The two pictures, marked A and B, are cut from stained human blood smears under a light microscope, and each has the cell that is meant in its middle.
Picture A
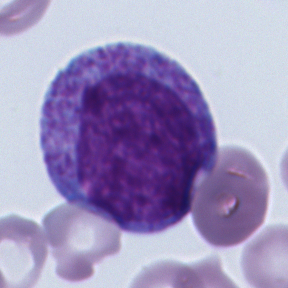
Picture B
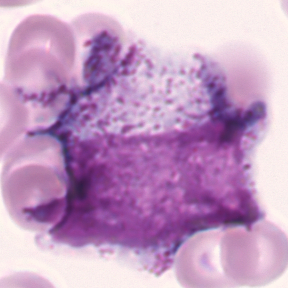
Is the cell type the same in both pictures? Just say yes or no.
yes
